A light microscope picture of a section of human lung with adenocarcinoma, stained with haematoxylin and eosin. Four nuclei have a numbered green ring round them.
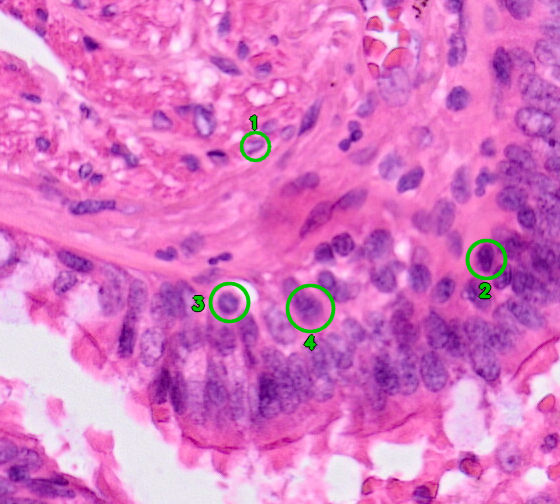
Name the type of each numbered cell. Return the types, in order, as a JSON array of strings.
["smooth muscle cell or pericyte", "ciliated epithelial cell", "mast cell", "ciliated epithelial cell"]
